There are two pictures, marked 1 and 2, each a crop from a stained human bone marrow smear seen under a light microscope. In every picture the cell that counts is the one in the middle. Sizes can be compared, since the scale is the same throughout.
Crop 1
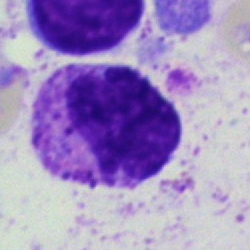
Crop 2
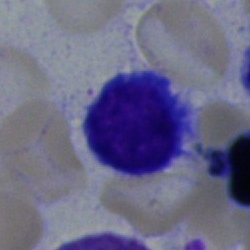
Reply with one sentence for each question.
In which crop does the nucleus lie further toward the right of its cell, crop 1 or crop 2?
Seen within its cell, the nucleus in crop 1 lies further toward the right.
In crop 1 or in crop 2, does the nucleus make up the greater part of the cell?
It is the cell in crop 2 that is filled more by its nucleus.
